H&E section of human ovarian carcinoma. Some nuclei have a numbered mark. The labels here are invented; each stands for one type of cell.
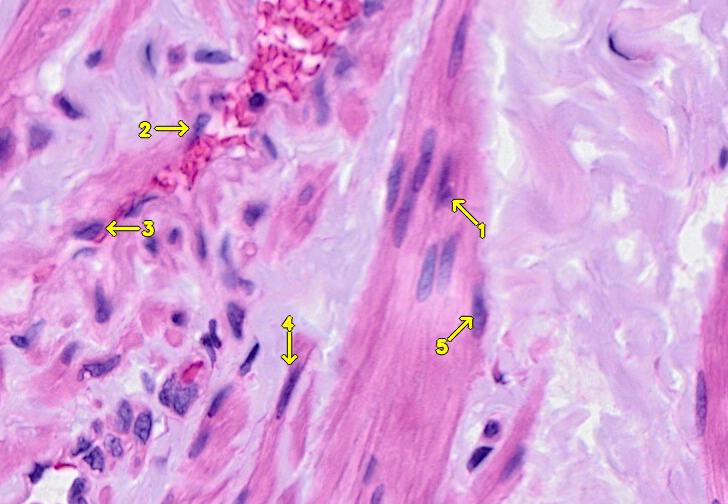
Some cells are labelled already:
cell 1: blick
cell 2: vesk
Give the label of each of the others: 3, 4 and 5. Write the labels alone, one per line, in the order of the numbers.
vesk
blick
blick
